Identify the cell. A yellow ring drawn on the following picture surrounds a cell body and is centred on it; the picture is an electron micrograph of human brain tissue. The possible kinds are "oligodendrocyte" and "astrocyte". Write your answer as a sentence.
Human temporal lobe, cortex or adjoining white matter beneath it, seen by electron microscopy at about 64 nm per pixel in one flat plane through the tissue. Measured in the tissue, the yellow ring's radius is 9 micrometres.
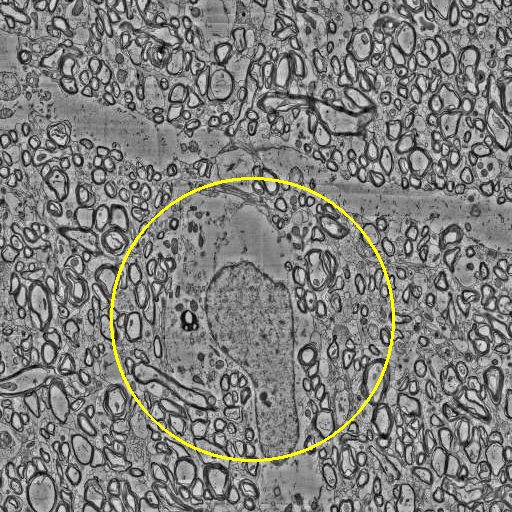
The cell identified by the ring is an astrocyte.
